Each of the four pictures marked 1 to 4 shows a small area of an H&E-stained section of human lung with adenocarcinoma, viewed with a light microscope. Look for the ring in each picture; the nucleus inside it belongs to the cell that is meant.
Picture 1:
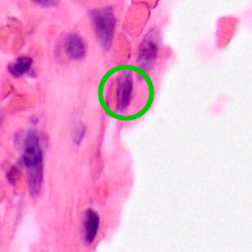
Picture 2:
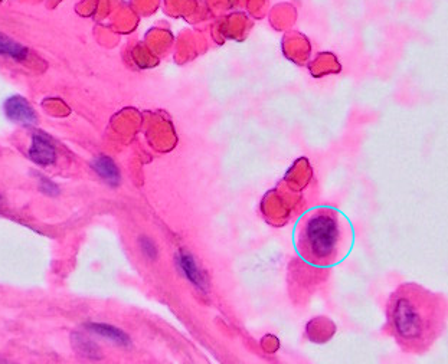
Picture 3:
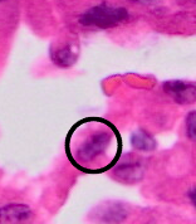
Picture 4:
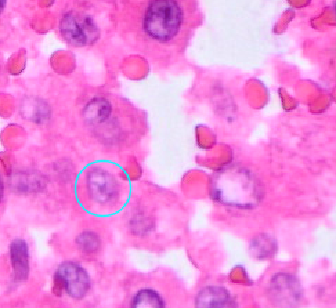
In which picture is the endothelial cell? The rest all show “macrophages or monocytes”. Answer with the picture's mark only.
1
